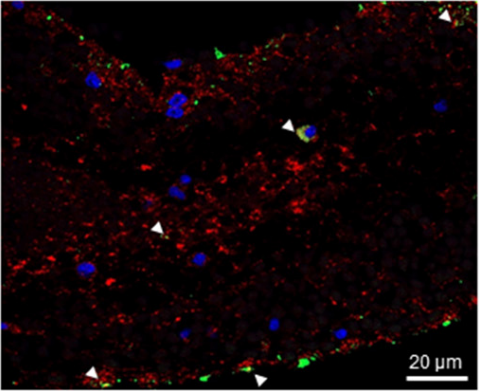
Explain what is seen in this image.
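Fine red granular staining is spread widely through the mass, forming irregular clumps and streaks. Small green particles without nuclei lie scattered, more often along the edges of the mass, and where they meet the red staining they appear yellow. The upper edge of the mass is irregular against a dark background.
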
